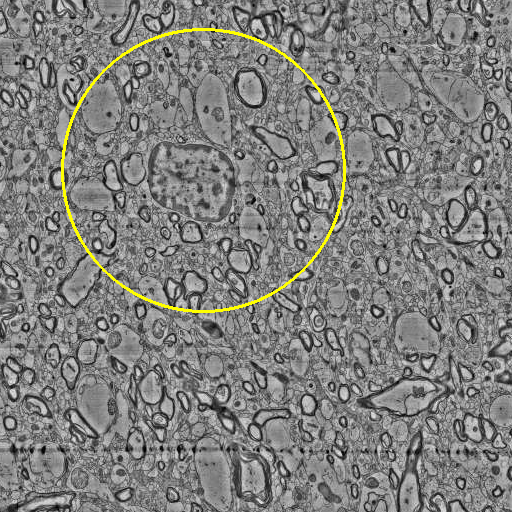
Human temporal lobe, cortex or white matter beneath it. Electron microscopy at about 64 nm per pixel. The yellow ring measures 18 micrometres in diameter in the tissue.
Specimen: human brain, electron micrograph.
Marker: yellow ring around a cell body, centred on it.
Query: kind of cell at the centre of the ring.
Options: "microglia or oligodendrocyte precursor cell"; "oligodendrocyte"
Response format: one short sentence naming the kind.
This cell body belongs to a microglial cell or oligodendrocyte precursor cell.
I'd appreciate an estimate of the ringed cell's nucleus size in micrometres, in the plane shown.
Roughly 6 micrometres by 5 micrometres, in this plane.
